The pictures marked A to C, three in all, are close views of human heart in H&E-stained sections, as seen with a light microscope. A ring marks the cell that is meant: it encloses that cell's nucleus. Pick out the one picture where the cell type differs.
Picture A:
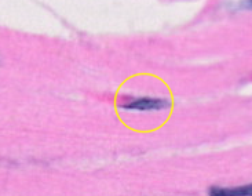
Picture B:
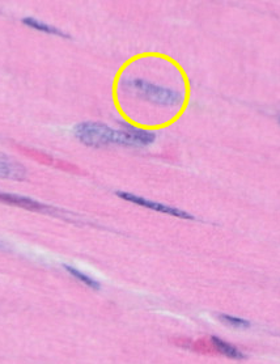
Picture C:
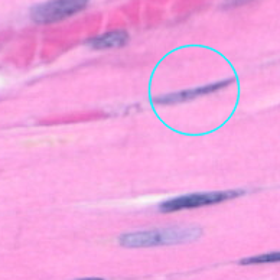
B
